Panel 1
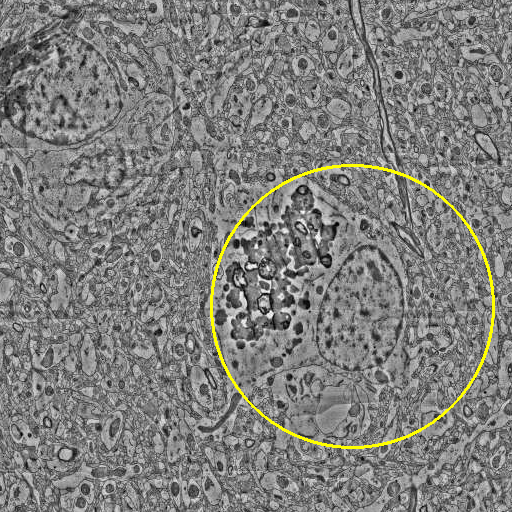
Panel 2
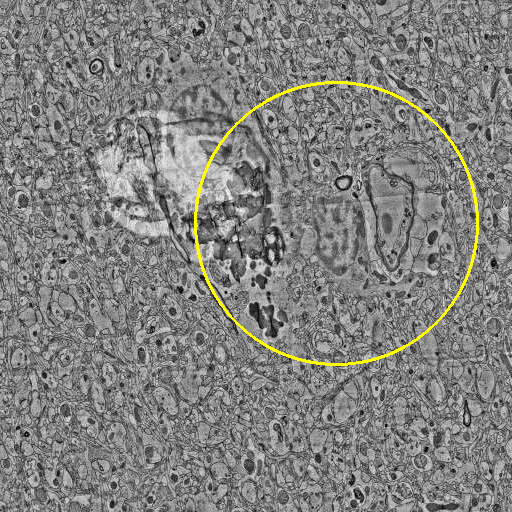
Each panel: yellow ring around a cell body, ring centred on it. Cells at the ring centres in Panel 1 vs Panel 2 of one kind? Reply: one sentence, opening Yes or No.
No, Panel 1 and Panel 2 have cells of two kinds at the ring centres.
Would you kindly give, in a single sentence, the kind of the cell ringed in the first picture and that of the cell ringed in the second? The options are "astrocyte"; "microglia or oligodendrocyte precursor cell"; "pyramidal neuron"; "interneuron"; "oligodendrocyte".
The second cell is an oligodendrocyte, and the first cell is an astrocyte.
